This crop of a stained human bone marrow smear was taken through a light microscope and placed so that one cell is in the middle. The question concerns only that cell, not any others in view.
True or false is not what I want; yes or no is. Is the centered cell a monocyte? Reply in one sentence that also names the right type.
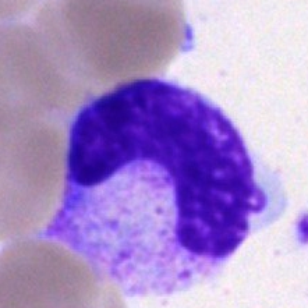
No, a monocyte is not what the central cell is; it is a band neutrophil.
